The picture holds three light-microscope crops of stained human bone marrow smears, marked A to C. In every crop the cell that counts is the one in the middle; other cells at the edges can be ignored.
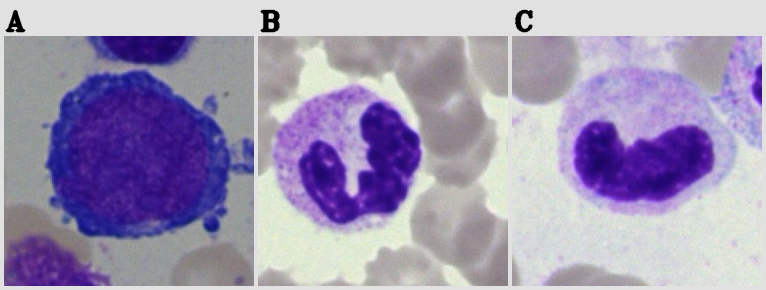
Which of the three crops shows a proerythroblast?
A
